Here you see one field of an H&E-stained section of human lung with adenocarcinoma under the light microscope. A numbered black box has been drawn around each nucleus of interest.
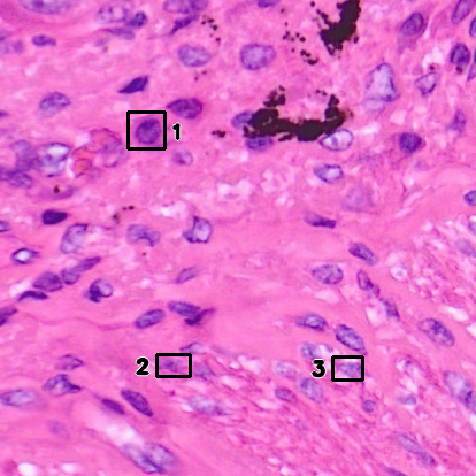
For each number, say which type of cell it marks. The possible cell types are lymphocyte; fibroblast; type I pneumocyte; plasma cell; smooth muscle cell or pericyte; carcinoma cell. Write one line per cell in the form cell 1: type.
cell 1: plasma cell
cell 2: smooth muscle cell or pericyte
cell 3: smooth muscle cell or pericyte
